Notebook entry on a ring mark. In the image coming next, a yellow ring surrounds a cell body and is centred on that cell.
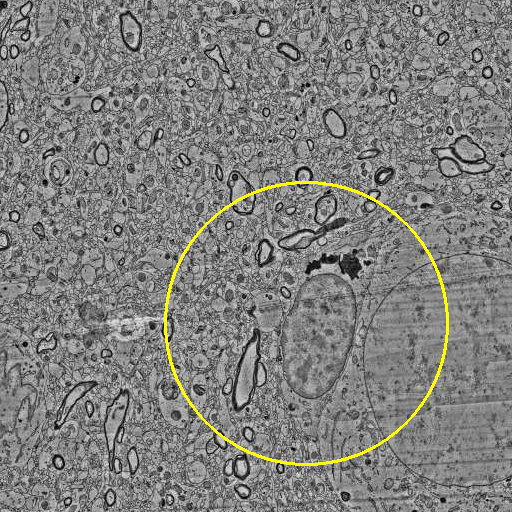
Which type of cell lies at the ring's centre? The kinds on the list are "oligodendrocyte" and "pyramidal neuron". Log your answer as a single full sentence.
Centred in the yellow ring is an oligodendrocyte, the cell recorded for this image.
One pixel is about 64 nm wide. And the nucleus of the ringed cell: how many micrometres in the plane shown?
Roughly 8 micrometres by 5 micrometres, so the nucleus is clearly longer than it is wide in this plane.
